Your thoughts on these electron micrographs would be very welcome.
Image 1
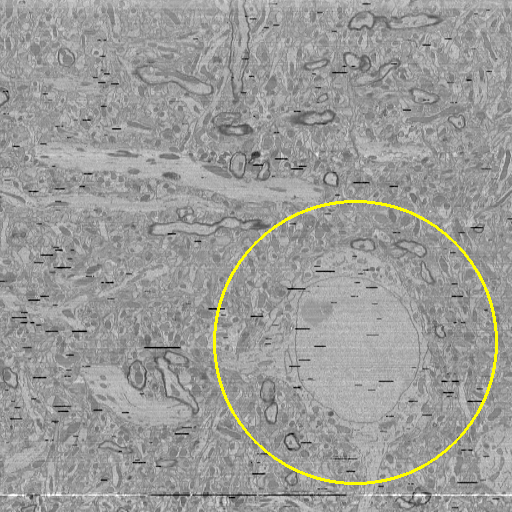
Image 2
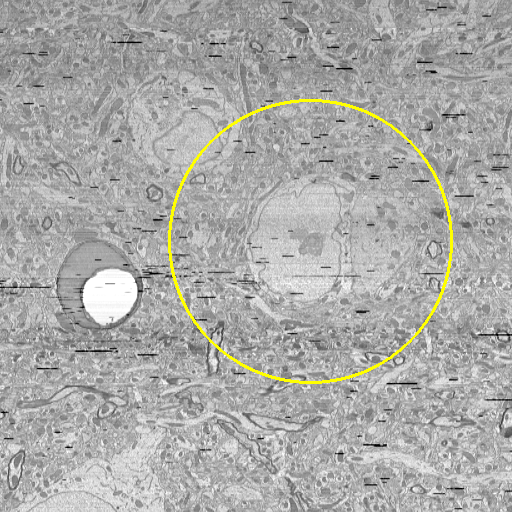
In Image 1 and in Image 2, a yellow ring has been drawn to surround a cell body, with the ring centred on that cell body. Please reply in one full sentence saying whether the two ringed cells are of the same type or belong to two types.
The ringed cells in Image 1 and Image 2 belong to two types.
